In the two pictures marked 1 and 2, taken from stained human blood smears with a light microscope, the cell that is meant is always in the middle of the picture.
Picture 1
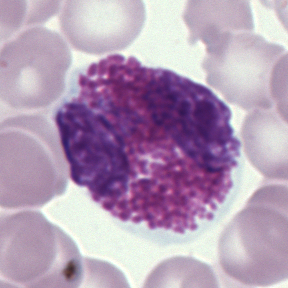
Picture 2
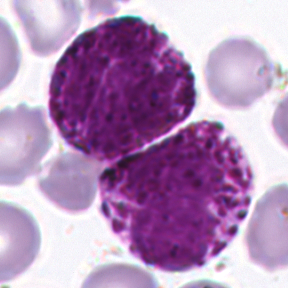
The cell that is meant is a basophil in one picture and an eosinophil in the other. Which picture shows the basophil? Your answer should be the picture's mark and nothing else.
2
